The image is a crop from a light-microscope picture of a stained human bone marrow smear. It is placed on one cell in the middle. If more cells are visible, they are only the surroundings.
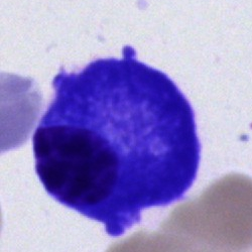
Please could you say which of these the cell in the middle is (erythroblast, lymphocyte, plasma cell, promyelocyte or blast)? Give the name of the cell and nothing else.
plasma cell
